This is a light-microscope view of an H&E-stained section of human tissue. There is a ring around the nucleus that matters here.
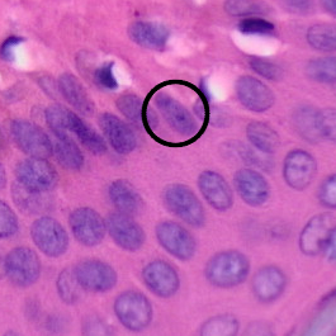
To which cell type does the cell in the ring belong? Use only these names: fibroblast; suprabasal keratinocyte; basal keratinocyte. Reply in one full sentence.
As to its cell type, the cell in the ring is a basal keratinocyte.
